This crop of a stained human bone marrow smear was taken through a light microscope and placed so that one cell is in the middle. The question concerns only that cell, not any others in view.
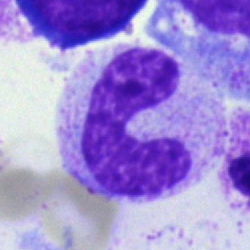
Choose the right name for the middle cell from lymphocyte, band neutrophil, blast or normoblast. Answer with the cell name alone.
band neutrophil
